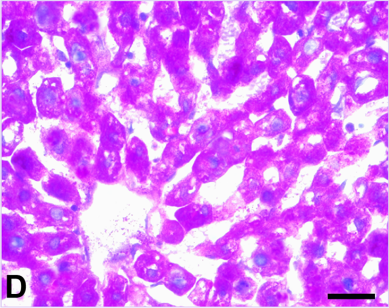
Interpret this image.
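Liver with hepatic cells arranged in cords around a central clear vascular space. The polygonal cells have abundant, intensely magenta, granular cytoplasm and round pale blue nuclei, with narrow clear sinusoidal spaces between the cords.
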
